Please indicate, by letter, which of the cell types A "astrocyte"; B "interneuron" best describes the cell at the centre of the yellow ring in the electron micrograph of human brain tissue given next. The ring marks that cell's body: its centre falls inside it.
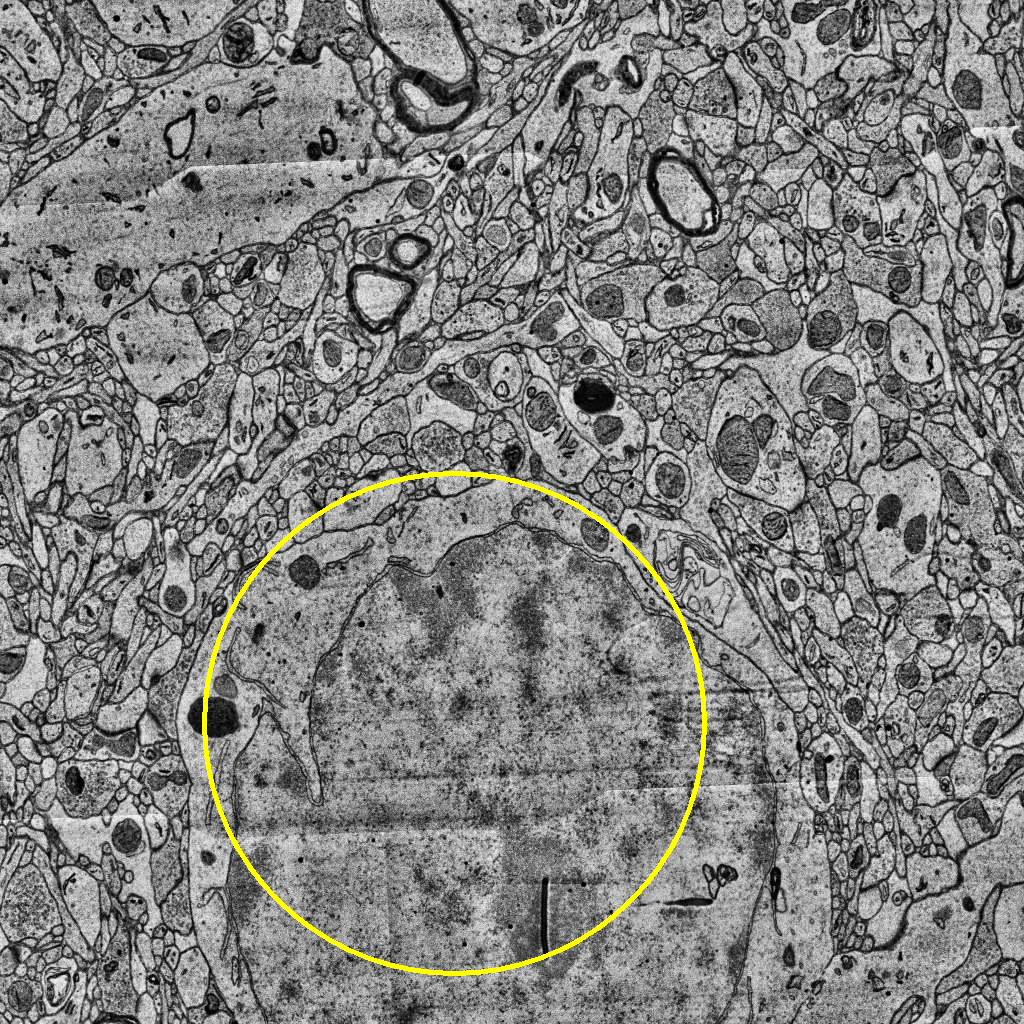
B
